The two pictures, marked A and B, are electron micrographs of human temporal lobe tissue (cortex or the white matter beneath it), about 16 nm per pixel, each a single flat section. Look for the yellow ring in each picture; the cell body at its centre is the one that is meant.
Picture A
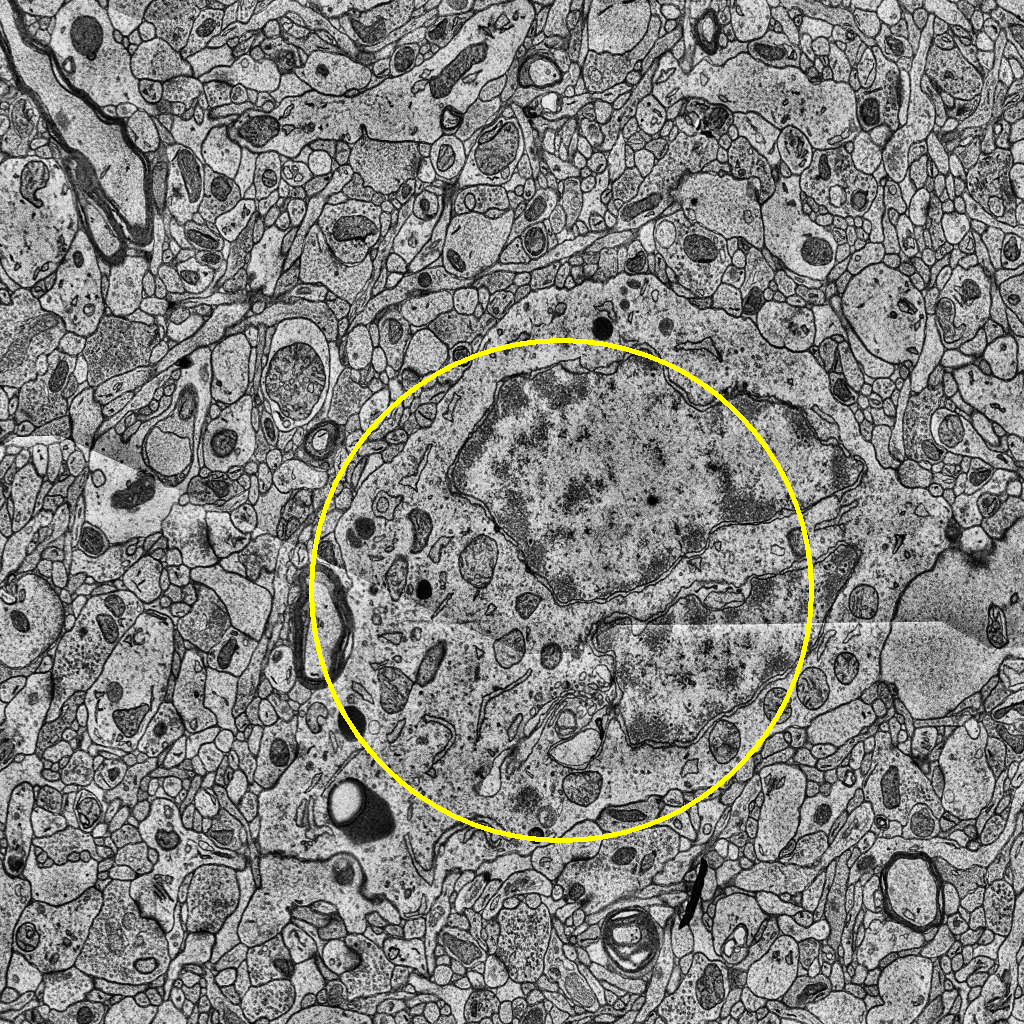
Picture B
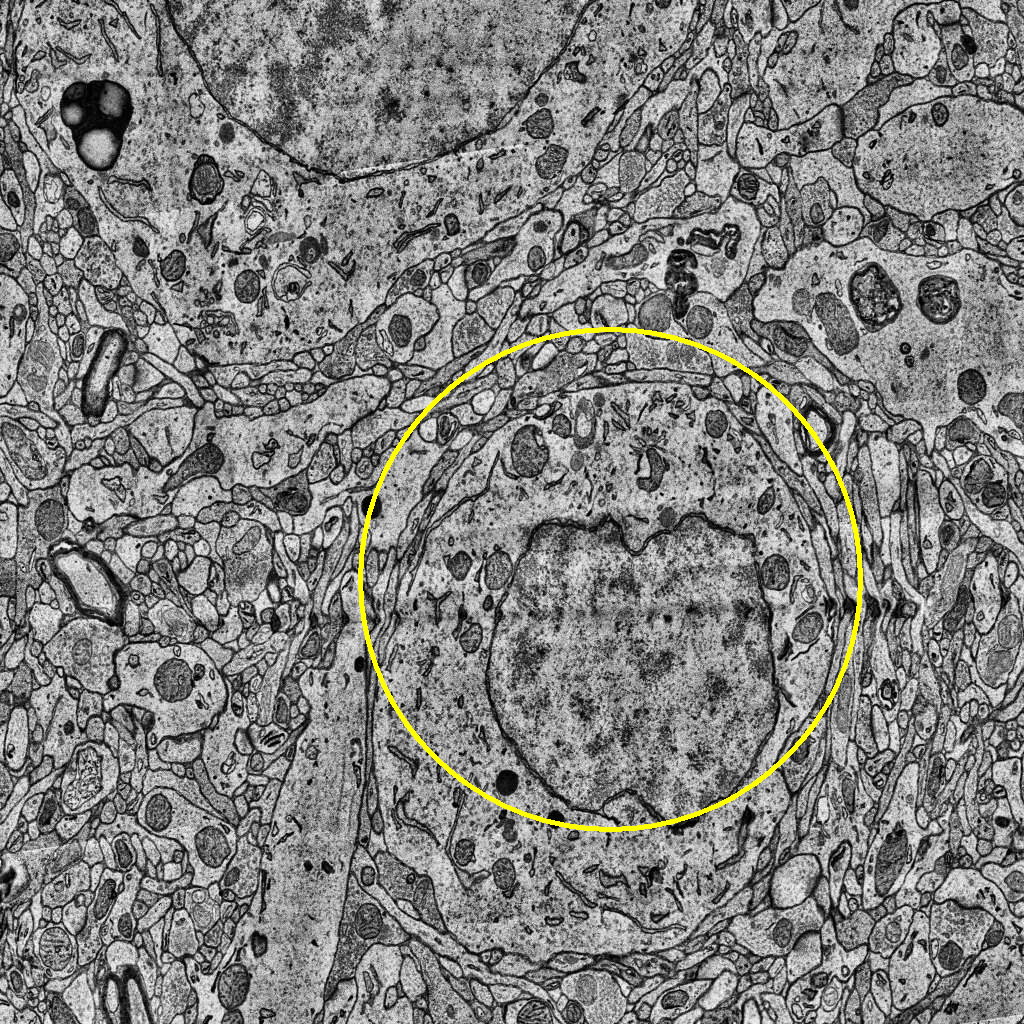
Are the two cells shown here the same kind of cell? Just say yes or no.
no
